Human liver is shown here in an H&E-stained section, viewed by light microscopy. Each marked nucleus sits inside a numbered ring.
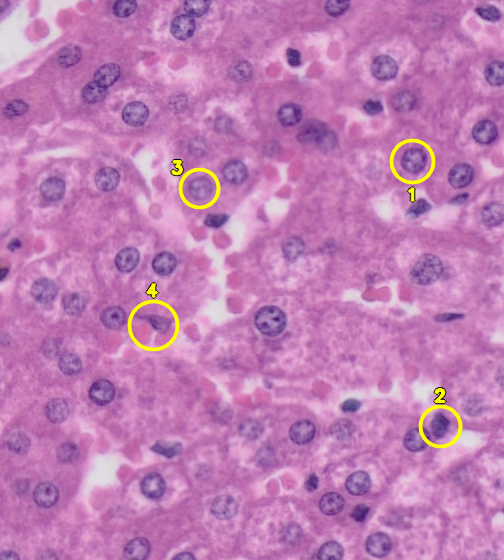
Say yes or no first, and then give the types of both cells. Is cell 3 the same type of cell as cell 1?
Yes, cells 3 and 1 are both hepatocytes in this section.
